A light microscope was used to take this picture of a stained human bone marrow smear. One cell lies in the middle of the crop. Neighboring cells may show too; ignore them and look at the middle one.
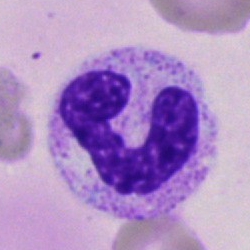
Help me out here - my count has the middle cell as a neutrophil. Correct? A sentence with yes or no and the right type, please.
Yes, the cell in the middle has the identity of a neutrophil.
